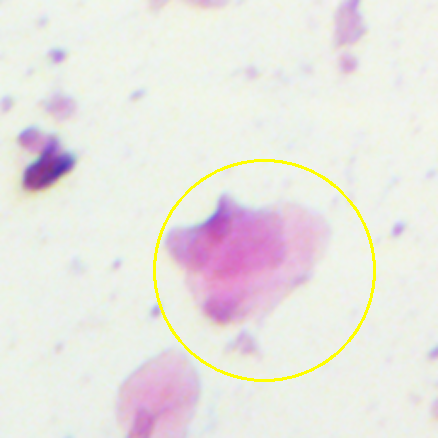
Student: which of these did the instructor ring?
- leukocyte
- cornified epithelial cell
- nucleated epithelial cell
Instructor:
The cell I ringed is a cornified epithelial cell.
